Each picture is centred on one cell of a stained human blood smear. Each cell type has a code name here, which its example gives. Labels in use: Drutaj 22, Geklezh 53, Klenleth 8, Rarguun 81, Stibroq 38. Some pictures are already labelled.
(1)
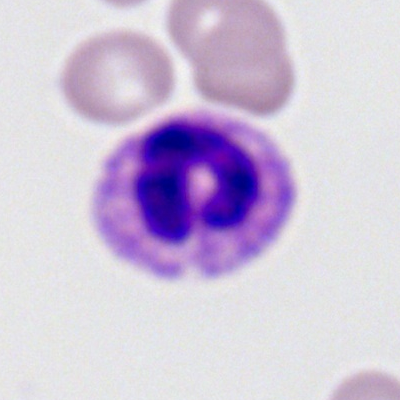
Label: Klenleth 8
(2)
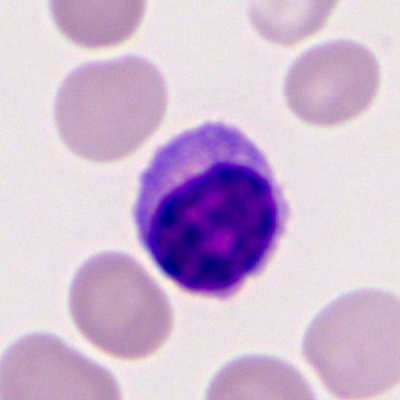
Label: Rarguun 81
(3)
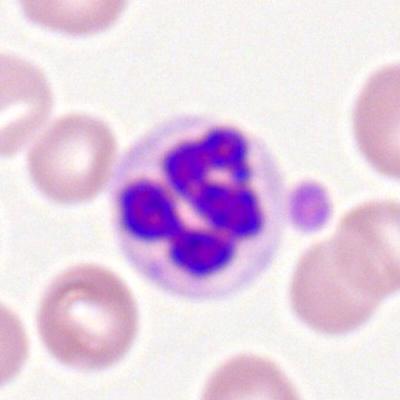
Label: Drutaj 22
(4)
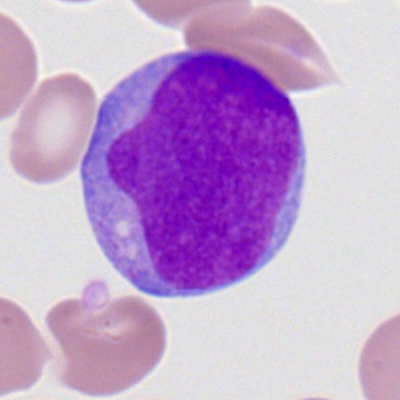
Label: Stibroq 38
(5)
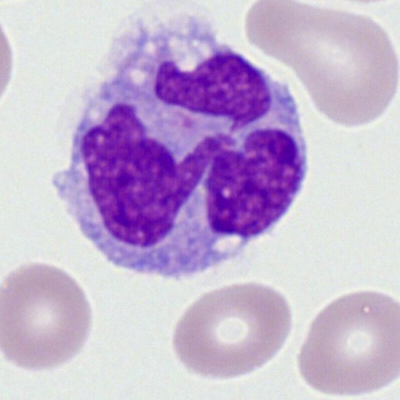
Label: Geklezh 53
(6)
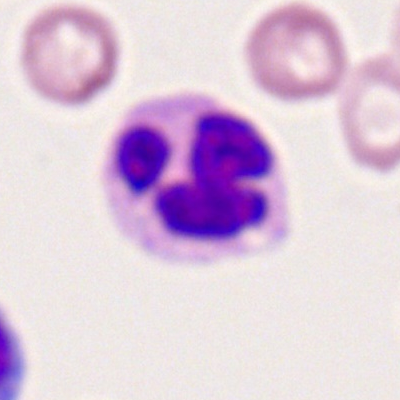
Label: Drutaj 22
